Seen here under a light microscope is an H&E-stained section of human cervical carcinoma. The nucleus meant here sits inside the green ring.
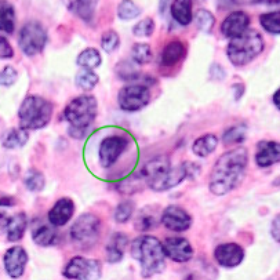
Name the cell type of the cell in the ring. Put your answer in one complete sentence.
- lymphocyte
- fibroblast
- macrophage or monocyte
Within this tissue, the cell in the ring is a lymphocyte.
